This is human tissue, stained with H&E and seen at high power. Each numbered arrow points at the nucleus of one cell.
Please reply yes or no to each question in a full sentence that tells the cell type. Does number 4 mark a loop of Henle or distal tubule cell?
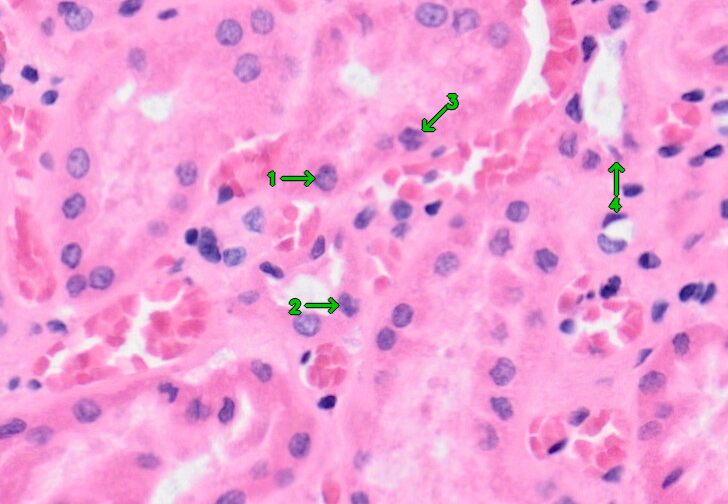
Yes, the cell that number 4 points to is a loop of Henle or distal tubule cell.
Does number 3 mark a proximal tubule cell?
Yes, that one, number 3, is a proximal tubule cell.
